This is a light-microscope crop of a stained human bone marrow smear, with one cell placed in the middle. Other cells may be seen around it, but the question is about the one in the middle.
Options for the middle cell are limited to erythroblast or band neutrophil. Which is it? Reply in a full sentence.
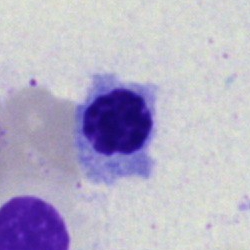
Occupying the centre of the crop is an erythroblast.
